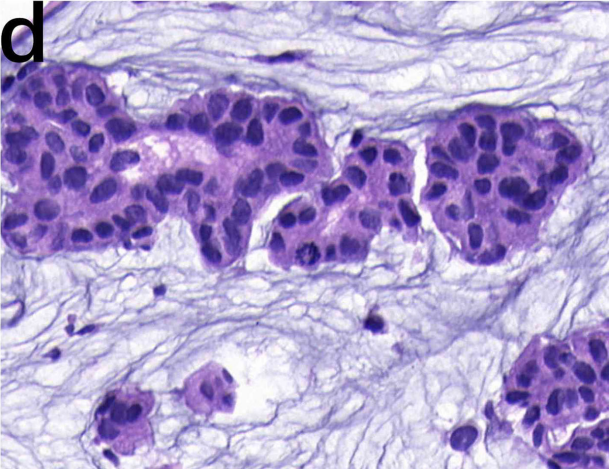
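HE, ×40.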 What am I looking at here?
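At high power, cohesive clusters of epithelioid tumor cells float in pale blue, wispy mucin. Some clusters enclose small lumen-like spaces, and a few detached small groups of cells lie free in the mucin below.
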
